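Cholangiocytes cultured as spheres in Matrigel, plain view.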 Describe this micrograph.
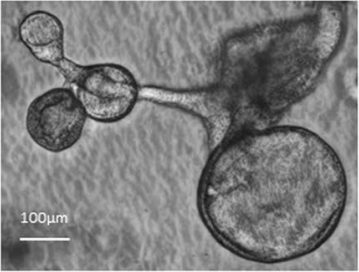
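A large round cyst and several smaller ones are joined by a narrow tubular duct that links them. A further irregular, denser epithelial outgrowth extends from the connecting duct.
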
